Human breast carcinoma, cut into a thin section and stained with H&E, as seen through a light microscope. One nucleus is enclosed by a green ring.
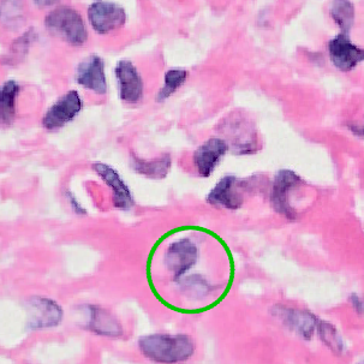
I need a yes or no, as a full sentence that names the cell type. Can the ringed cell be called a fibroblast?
Yes, in this section the ringed cell is a fibroblast.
